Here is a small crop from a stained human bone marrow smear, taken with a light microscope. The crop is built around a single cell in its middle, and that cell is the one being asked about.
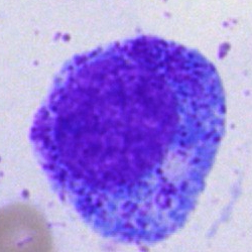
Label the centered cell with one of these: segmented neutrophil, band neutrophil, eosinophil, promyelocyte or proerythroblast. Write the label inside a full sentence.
The single cell at the center of the crop is a promyelocyte.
